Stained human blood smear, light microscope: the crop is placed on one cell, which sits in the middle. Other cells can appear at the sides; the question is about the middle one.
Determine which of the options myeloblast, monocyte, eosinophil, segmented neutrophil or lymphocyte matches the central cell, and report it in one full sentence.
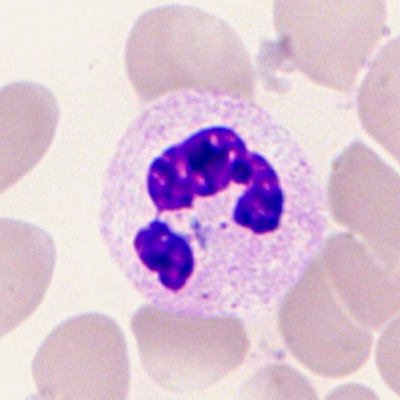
The cell of interest, in the center, is a segmented neutrophil.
